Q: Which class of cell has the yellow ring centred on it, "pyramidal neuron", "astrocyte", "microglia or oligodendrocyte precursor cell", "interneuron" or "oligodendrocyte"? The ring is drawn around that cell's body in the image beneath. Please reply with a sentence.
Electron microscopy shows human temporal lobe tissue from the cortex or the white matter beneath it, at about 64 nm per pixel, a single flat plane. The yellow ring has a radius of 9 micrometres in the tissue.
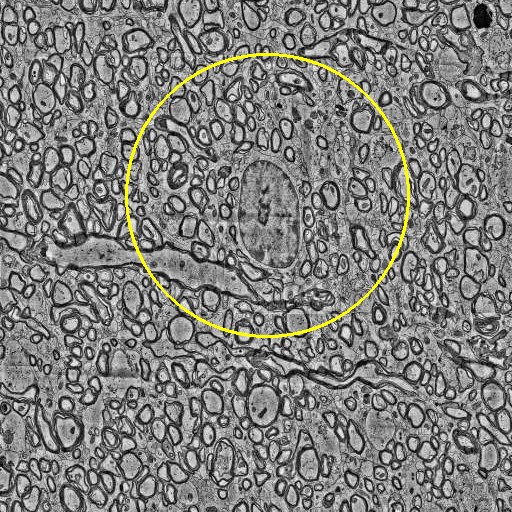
It is centred on a microglial cell or oligodendrocyte precursor cell.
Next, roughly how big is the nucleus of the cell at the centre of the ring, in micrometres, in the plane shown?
In this plane, the nucleus of the cell at the centre of the ring measures about 7 by 4 micrometres.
